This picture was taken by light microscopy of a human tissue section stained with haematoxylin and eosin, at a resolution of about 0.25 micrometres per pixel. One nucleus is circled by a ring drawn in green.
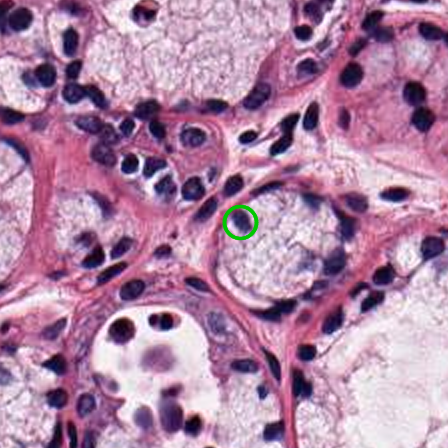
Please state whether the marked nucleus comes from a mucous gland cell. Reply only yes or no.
yes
